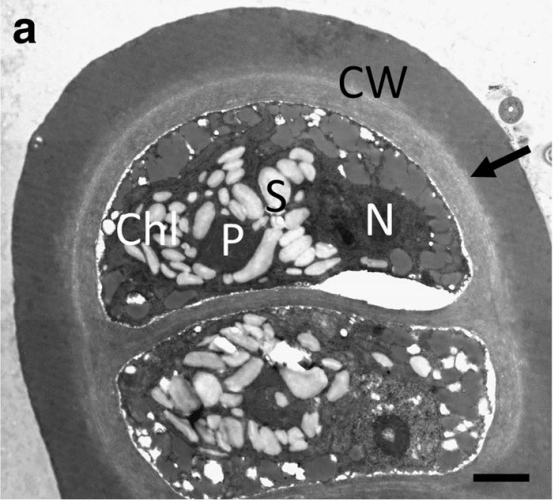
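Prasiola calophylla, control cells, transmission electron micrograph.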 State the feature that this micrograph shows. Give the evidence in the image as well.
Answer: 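Two cells lie one behind the other in a single row. Both cells are enclosed by one thick common wall that is rounded at the free end. On this evidence: uniseriate filament.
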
